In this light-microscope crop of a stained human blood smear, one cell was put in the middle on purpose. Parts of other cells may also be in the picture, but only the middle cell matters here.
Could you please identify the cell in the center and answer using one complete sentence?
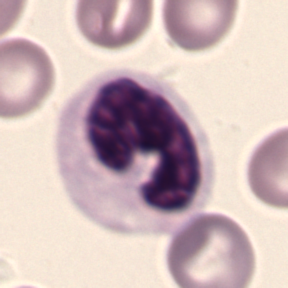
The cell positioned in the middle of the field is a band neutrophil.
